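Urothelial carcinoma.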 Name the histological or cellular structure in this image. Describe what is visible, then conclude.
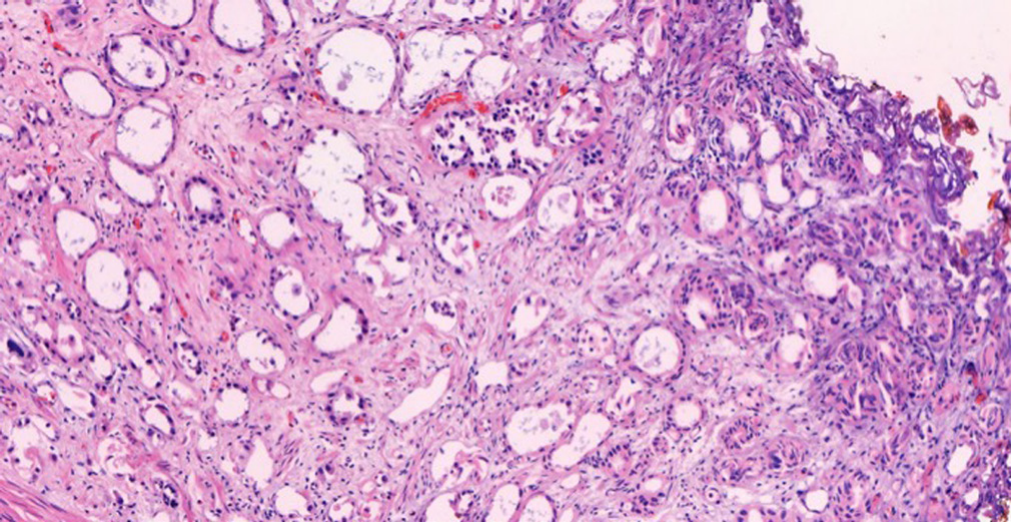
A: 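Tubular structures or microcysts. Many round to oval empty-looking spaces are scattered through pink fibrous stroma. Each space is rimmed by a thin lining of cells.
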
